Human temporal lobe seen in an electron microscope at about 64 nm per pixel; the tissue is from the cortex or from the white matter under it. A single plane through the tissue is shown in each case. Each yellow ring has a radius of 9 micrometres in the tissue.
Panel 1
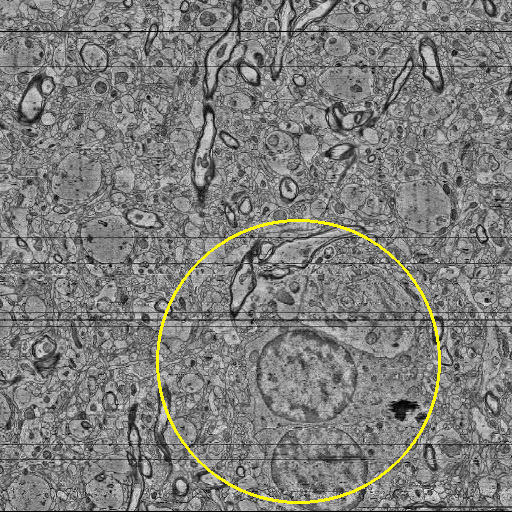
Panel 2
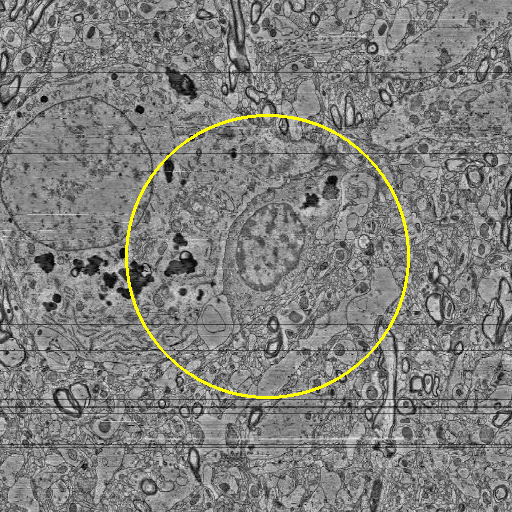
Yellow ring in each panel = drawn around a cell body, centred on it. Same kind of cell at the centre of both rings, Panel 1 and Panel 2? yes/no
yes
